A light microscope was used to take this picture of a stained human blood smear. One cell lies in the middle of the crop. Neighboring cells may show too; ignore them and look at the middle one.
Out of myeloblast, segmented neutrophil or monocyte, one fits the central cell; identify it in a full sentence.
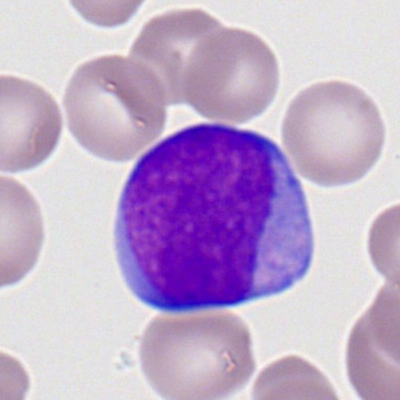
The middle of this crop holds a myeloblast.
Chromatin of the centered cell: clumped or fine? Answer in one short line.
Check the chromatin: it is fine and not coarsely clumped.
